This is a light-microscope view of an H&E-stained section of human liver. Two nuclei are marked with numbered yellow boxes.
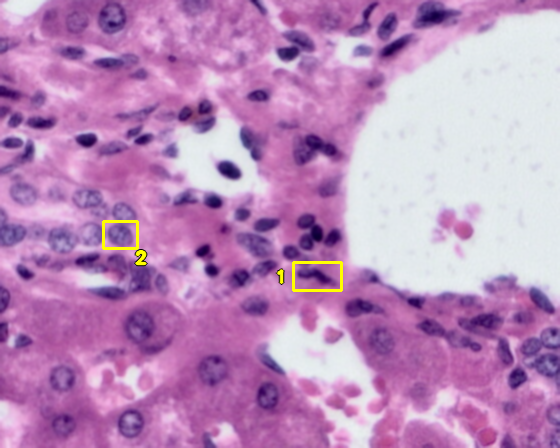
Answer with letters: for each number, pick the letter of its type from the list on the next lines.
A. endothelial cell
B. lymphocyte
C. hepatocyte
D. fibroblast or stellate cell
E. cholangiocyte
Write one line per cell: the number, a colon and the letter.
1: D
2: E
